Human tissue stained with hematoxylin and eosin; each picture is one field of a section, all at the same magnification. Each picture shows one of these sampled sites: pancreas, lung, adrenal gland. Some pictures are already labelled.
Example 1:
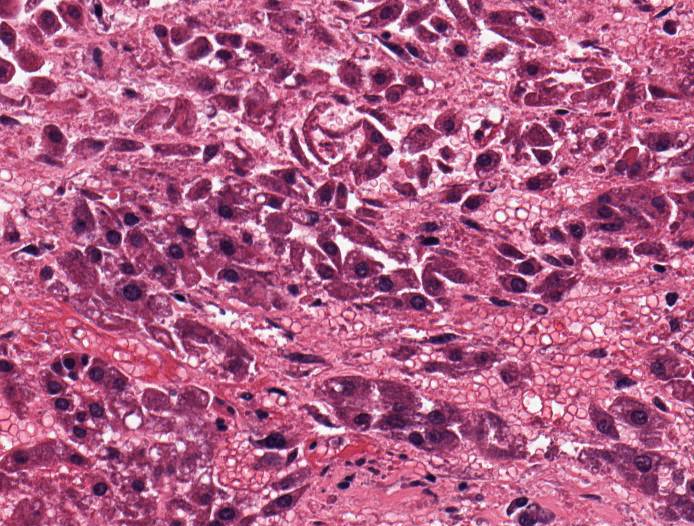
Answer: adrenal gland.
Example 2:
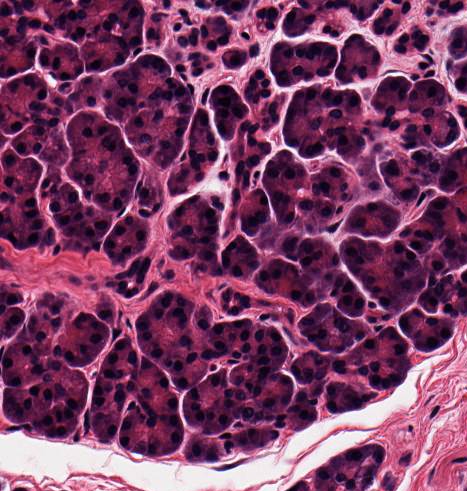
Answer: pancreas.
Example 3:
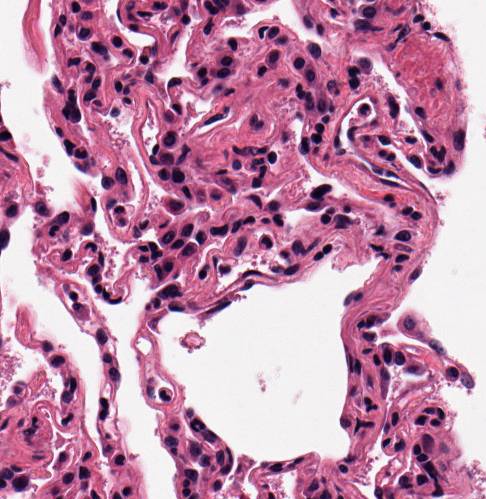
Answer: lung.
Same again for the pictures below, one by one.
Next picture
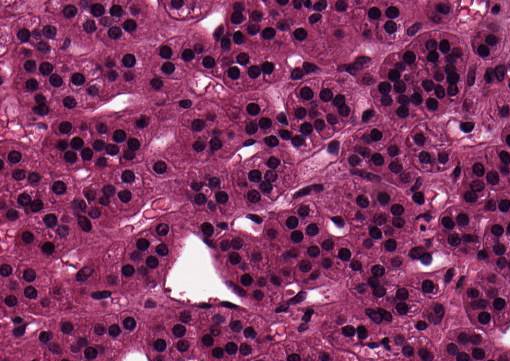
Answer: adrenal gland.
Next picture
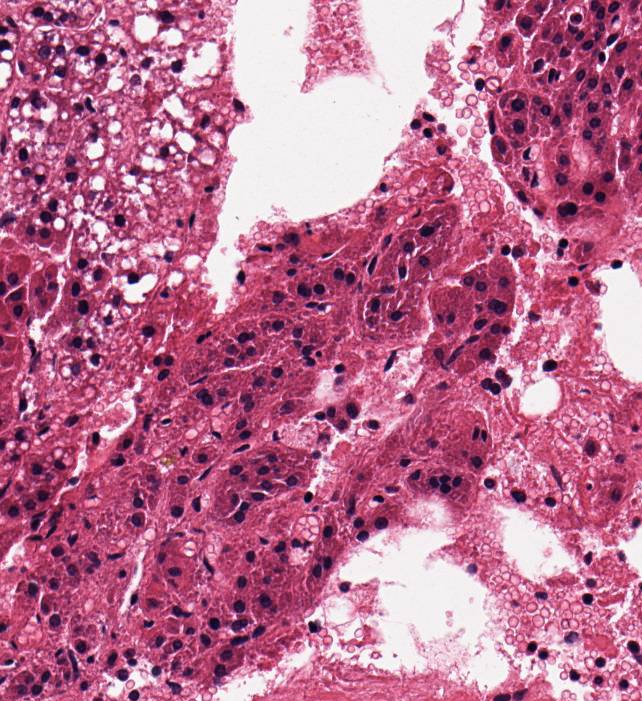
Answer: adrenal gland.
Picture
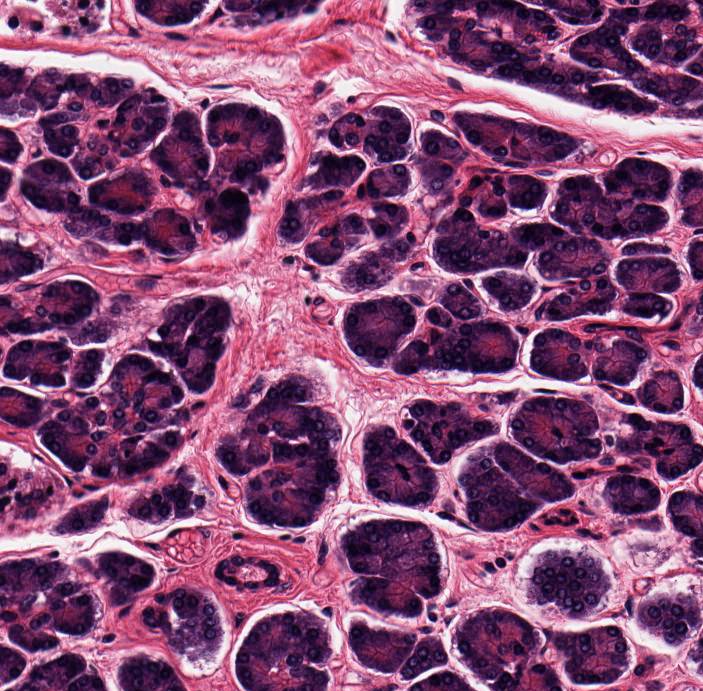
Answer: pancreas.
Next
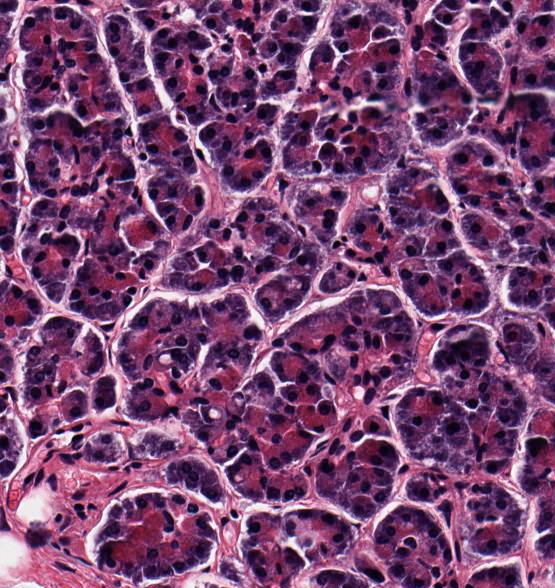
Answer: pancreas.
